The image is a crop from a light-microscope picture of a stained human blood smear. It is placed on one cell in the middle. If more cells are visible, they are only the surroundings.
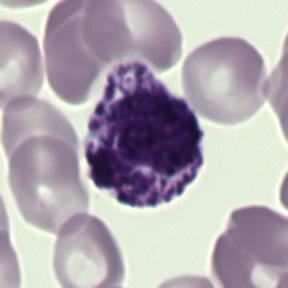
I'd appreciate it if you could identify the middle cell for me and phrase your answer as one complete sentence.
This crop is built around a basophil at its centre.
